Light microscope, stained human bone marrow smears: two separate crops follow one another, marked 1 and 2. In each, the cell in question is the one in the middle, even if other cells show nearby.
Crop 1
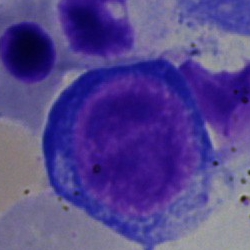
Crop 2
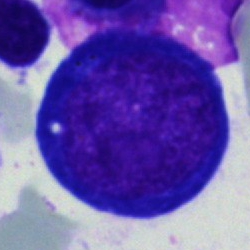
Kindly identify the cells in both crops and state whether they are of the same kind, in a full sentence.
Yes, the cells centred in the two crops are both proerythroblasts.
